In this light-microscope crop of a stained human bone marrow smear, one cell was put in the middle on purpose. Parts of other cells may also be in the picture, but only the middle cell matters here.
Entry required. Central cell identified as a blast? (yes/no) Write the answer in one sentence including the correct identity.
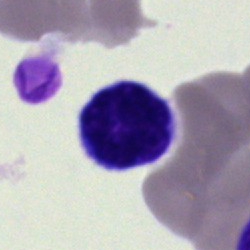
No, in this crop the middle cell is a lymphocyte, not a blast.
